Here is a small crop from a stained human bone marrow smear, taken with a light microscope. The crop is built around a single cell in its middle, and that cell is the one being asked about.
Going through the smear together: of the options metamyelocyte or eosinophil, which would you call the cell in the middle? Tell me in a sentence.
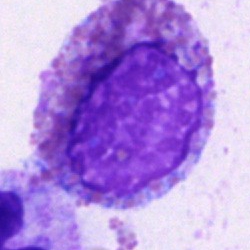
Standing at the centre of this crop is an eosinophil.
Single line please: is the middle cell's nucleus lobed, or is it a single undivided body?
Key feature: a single compact nucleus, round, oval or kidney-shaped.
